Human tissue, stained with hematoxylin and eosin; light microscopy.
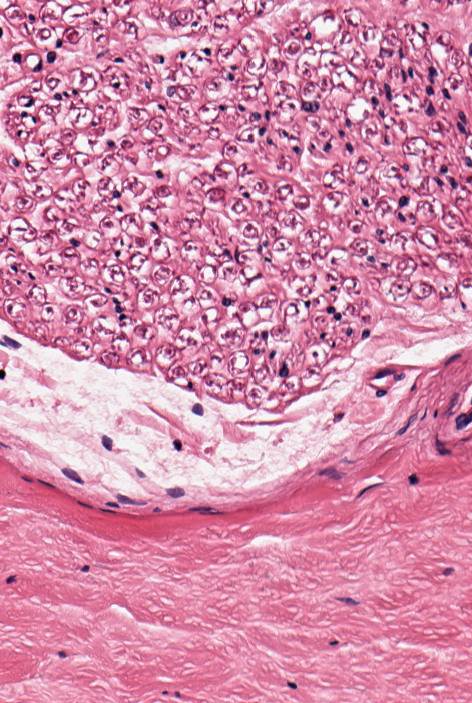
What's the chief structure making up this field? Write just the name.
nerve fascicle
